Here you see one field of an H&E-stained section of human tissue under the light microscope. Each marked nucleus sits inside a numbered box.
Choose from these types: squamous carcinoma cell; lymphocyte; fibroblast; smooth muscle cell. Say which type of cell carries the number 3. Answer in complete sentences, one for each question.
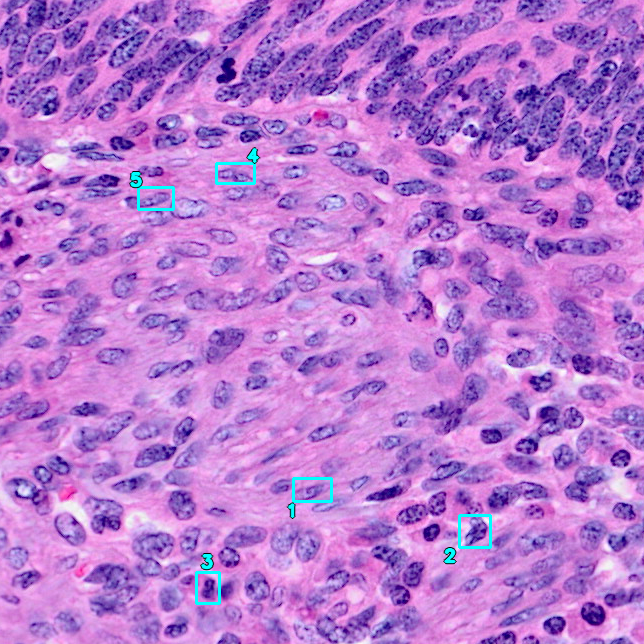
The cell that bears the number 3 is a lymphocyte.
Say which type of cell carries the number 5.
The cell numbered 5 represents a smooth muscle cell.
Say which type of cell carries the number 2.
The cell indicated with the number 2 is classed as a lymphocyte.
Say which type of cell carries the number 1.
The one numbered 1 among the marked cells is a smooth muscle cell.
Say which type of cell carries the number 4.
Among the marked nuclei, number 4 belongs to a smooth muscle cell.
